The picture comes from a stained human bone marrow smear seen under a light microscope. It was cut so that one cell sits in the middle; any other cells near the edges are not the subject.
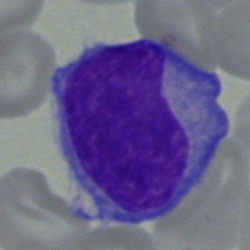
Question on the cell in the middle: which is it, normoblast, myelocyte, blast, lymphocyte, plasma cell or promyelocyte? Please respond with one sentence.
The identification for the central cell is a blast.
